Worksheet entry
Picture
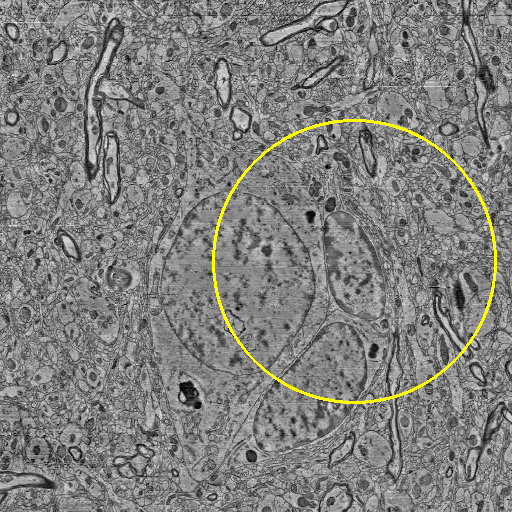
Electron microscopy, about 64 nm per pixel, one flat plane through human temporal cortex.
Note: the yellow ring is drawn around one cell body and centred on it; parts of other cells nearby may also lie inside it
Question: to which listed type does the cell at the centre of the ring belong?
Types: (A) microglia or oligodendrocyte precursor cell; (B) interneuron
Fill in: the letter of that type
A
